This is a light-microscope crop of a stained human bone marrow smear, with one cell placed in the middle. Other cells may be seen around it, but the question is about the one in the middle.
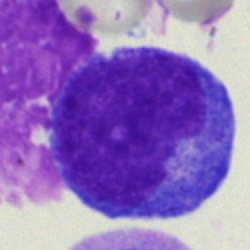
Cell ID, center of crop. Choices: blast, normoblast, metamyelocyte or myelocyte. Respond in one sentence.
The central cell, amid any neighbouring cells, is a blast.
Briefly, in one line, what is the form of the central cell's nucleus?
In this cell the nucleus is a solitary compact mass, round, oval or kidney-shaped.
